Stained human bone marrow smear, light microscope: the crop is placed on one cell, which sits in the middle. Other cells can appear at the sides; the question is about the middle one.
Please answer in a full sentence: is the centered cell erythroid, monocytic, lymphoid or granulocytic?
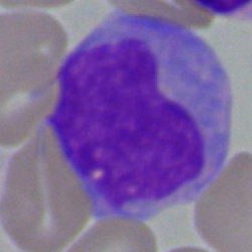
The correct lineage for the cell at the center is the monocytic one.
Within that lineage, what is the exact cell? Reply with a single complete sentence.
The middle of this crop is occupied by a monocyte.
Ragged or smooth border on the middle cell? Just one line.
Around its whole circumference the outline stays smooth, free of projections.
